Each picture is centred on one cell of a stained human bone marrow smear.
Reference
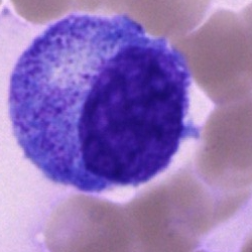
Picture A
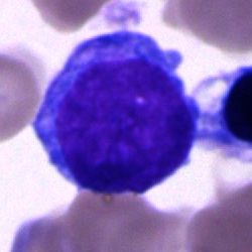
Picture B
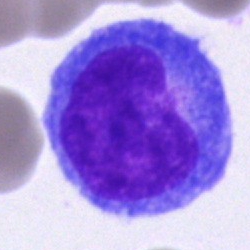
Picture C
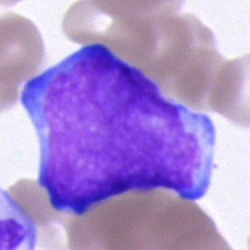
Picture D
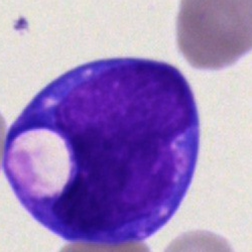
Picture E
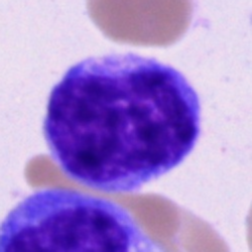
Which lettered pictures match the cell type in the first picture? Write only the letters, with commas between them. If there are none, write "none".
none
